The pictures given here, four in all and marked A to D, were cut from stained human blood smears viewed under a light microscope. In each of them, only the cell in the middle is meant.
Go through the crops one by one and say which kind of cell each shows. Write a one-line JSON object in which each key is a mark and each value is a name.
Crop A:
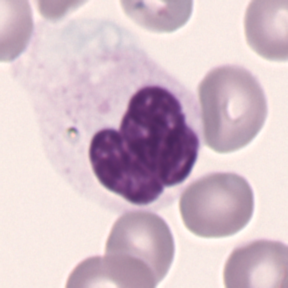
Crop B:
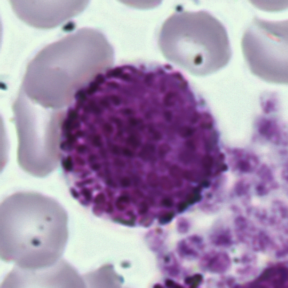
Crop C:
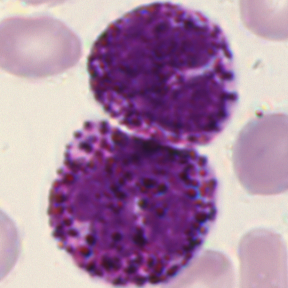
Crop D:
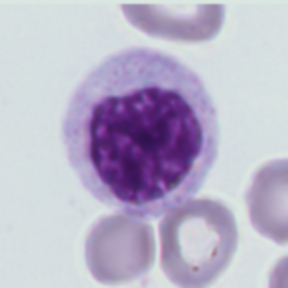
{"A": "segmented neutrophil", "B": "basophil", "C": "basophil", "D": "metamyelocyte"}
